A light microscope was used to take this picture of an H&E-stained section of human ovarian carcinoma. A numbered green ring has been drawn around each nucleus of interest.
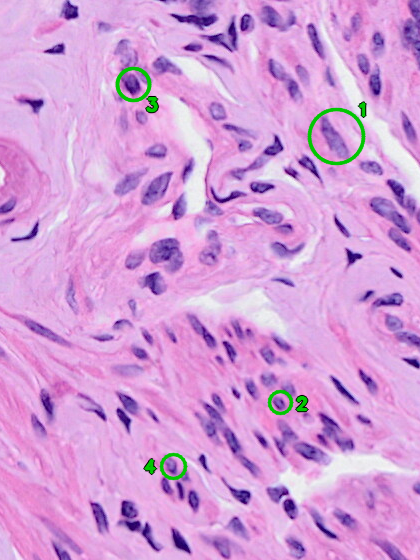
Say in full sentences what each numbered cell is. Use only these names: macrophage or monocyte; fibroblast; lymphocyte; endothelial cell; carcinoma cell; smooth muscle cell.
Cell 1 is a smooth muscle cell, cell 2 is a smooth muscle cell, cell 3 is an endothelial cell and cell 4 is a smooth muscle cell.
